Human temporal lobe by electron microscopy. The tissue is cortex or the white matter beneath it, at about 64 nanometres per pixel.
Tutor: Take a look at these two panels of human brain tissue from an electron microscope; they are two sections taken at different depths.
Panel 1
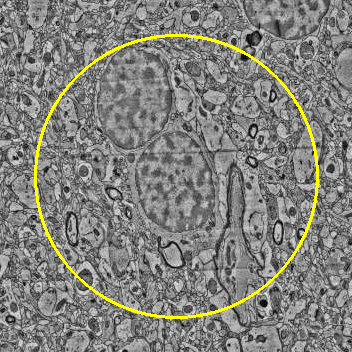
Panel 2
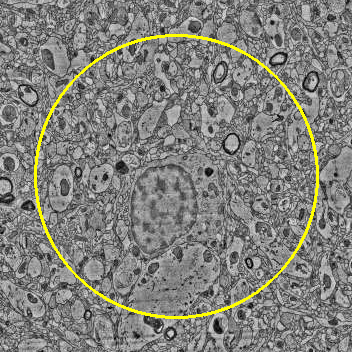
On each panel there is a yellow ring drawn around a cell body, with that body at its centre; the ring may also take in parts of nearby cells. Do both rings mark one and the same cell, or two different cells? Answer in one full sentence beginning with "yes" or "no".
No, the pair of yellow rings marks two distinct cells.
